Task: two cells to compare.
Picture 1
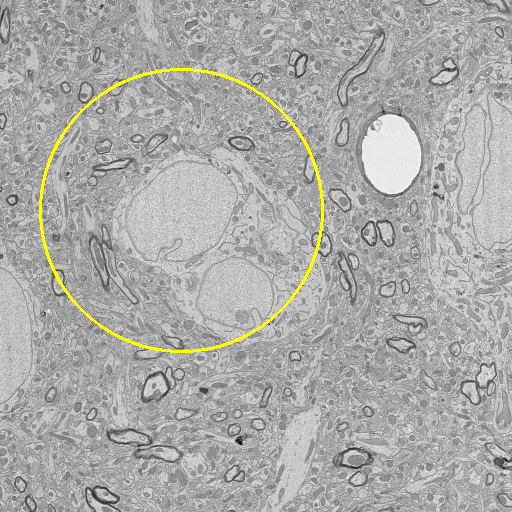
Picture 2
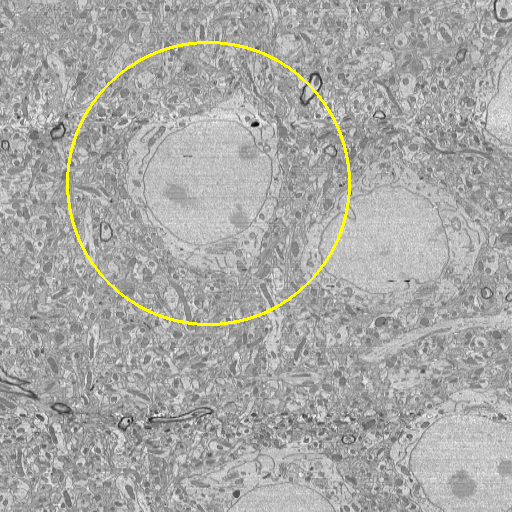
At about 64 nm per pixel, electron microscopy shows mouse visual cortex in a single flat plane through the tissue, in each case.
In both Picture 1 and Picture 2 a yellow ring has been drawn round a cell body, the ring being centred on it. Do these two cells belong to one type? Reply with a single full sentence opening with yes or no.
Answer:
No, the two cells at the ring centres in Picture 1 and Picture 2 are of two types.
